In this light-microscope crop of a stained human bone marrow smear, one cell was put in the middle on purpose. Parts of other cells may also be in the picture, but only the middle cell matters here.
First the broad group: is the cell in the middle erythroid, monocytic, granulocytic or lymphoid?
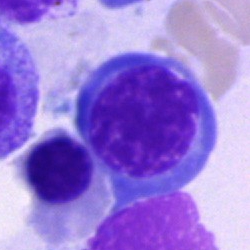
erythroid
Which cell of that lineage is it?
erythroblast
